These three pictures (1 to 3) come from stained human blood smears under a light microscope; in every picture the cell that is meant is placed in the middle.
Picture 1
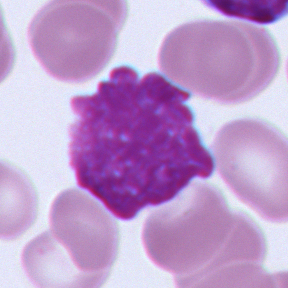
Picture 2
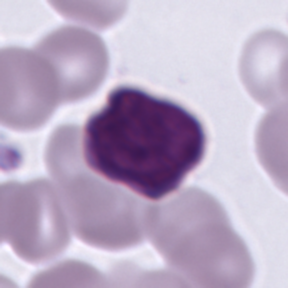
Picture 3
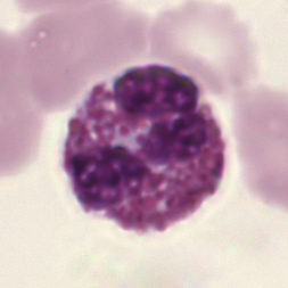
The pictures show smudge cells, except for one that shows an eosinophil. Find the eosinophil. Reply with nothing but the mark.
3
